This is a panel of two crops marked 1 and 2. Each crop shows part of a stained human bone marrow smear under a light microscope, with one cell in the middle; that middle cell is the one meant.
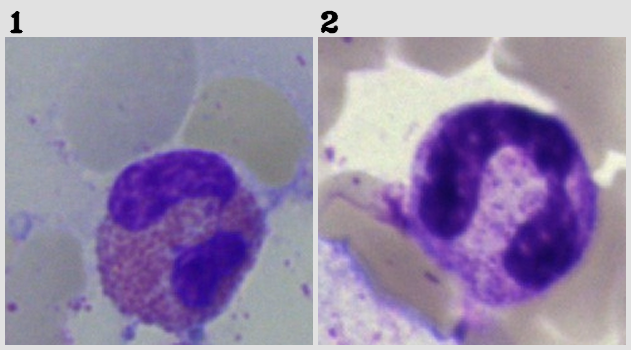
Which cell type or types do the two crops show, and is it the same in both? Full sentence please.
No, crop 1 and crop 2 show an eosinophil and a segmented neutrophil respectively.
